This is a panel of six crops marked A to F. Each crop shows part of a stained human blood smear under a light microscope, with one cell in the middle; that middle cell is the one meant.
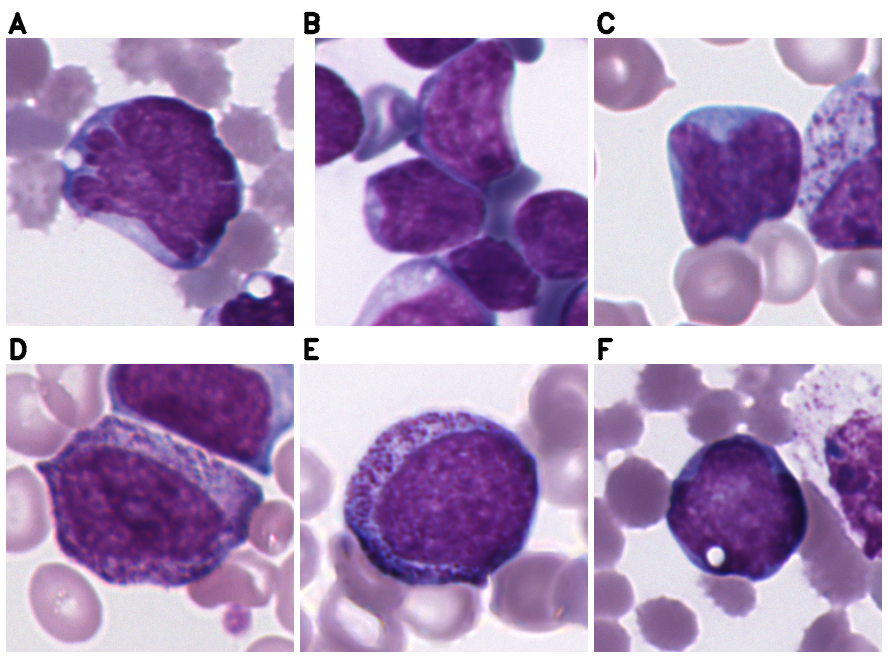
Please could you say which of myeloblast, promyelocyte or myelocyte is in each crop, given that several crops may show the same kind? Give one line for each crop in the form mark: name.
A: myeloblast
B: myeloblast
C: myeloblast
D: myelocyte
E: promyelocyte
F: myeloblast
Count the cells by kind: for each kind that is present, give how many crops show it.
myeloblast: 4
myelocyte: 1
promyelocyte: 1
